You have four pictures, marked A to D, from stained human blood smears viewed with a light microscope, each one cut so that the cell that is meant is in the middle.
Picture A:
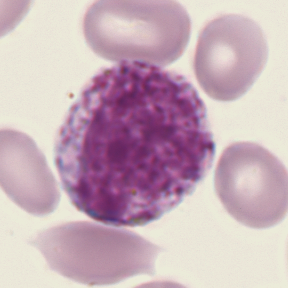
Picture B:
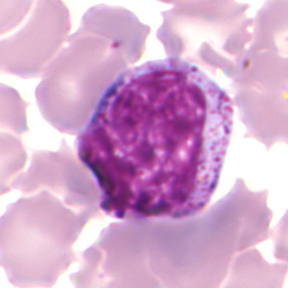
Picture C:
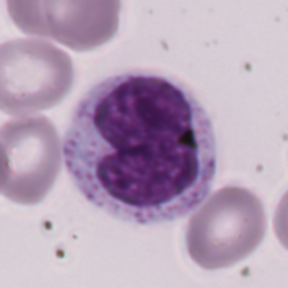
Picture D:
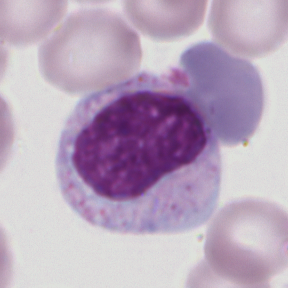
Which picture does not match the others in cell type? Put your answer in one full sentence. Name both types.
Picture B differs, because its cell is a myelocyte and the rest are metamyelocytes.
